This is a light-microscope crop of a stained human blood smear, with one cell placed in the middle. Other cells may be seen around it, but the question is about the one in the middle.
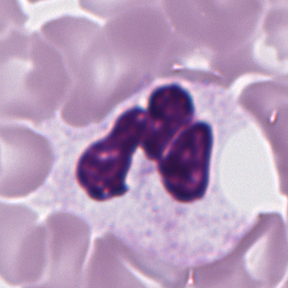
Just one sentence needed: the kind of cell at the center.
Positioned in the middle of the crop is a neutrophil.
